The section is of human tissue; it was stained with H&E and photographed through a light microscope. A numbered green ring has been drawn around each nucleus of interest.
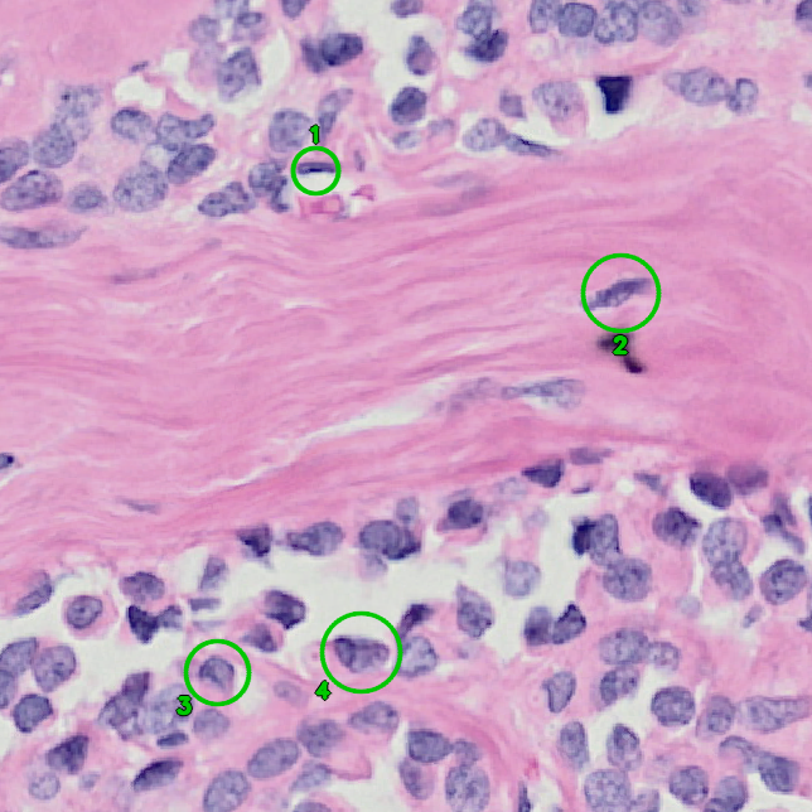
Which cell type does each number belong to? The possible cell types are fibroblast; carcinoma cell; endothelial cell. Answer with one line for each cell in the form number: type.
1: endothelial cell
2: fibroblast
3: carcinoma cell
4: carcinoma cell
